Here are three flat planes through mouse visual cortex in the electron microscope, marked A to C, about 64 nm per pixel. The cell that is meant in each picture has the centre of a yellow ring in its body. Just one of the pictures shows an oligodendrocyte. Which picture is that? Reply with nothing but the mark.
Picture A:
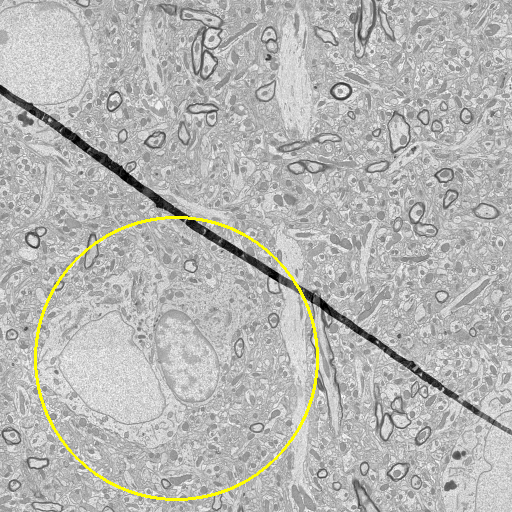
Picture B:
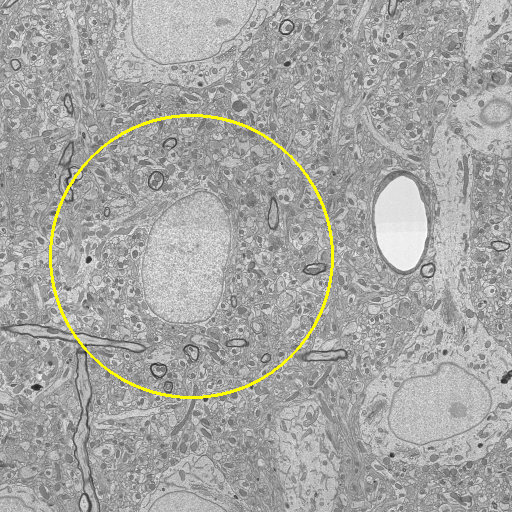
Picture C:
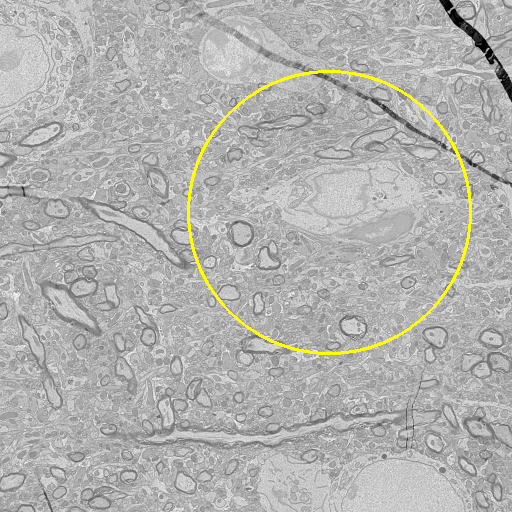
A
